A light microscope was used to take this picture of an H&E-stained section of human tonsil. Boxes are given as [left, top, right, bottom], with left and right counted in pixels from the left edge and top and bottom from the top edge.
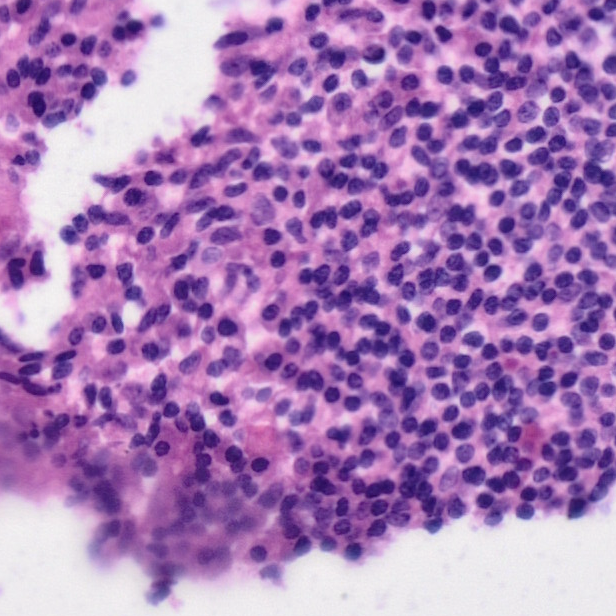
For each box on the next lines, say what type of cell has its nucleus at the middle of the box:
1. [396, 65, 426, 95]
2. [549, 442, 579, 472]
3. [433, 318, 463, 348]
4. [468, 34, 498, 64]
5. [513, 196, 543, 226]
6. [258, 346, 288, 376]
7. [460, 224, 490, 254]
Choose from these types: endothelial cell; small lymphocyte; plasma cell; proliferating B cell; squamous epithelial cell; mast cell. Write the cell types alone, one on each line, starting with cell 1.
plasma cell
small lymphocyte
small lymphocyte
plasma cell
small lymphocyte
plasma cell
small lymphocyte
